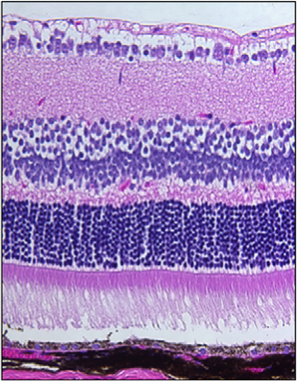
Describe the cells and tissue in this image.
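Retina with orderly, parallel layers: a single row of ganglion cell nuclei at the inner surface, a pink fibrous inner plexiform layer, an inner nuclear layer of loosely packed purple nuclei, and a thick, densely packed outer nuclear layer of small dark nuclei. Beyond it lie pale pink, finely striated bands of photoreceptor inner and outer segments, with dark pigmented tissue at the outer edge. The inner surface is free of scattered cells.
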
